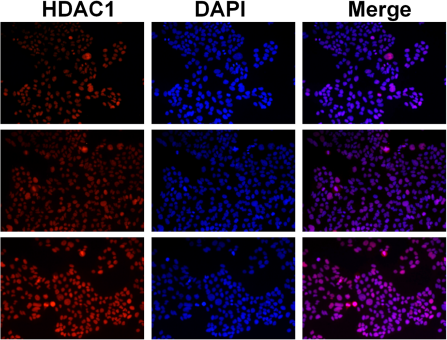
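The red label sits over the round to oval nuclei, so in the overlay the nuclei appear pink to purple. The cells are packed closely, and some nuclei stand out as brighter, rounder spots. Between cells there are gaps of dark background. The red intensity is not the same in every row; it looks strongest in the bottom row.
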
